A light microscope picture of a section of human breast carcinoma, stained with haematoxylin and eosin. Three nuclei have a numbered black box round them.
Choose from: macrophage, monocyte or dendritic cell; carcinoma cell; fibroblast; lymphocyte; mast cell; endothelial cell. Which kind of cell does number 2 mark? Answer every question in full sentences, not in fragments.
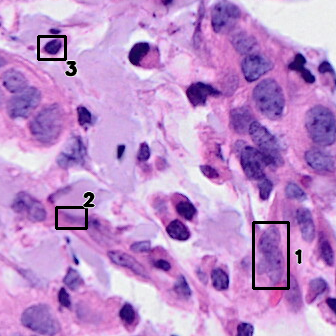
It is as an endothelial cell that the cell numbered 2 is identified.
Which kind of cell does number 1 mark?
What the number 1 marks in this field is an endothelial cell.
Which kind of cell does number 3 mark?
The cell indicated with the number 3 is classed as a mast cell.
